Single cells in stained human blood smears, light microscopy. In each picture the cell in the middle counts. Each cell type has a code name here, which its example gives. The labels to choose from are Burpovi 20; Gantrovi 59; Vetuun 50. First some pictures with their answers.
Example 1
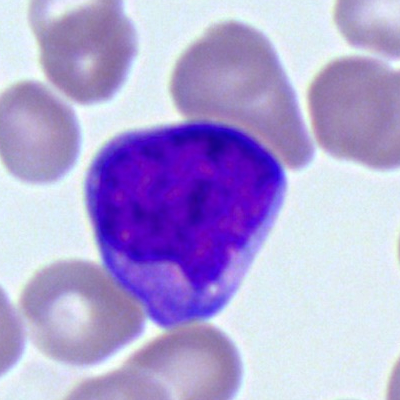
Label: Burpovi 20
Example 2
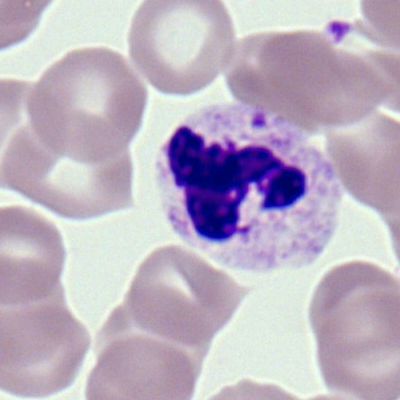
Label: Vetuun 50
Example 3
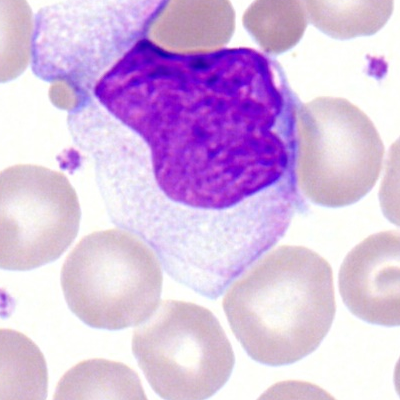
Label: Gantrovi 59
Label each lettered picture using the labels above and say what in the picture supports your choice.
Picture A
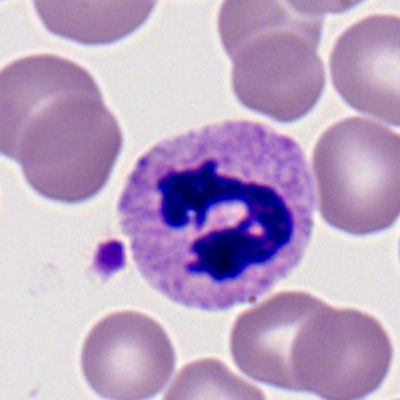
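Vetuun 50. Evidence: The nucleus is a single curved band bent into a C or horseshoe shape.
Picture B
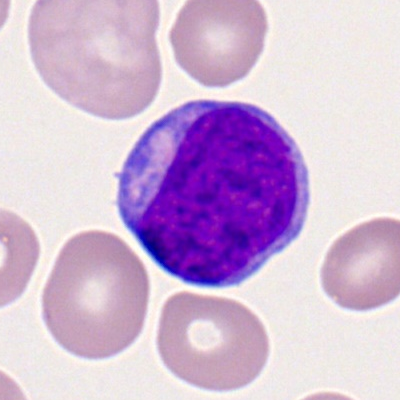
Burpovi 20. Evidence: The nucleus occupies most of the cell.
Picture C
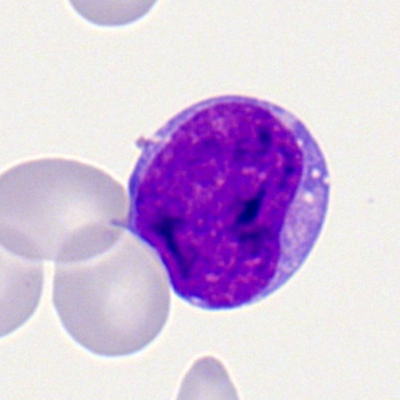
Burpovi 20. Evidence: The nucleus fills most of the cell and sits toward the left side.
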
